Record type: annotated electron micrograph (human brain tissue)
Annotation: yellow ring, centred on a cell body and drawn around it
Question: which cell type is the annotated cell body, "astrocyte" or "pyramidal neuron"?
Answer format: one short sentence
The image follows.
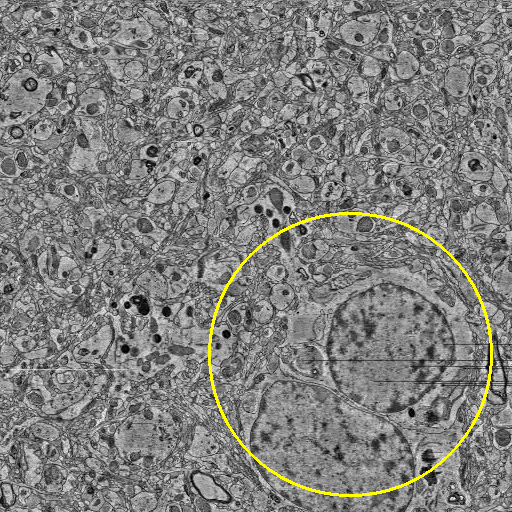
The annotated cell body is that of an astrocyte.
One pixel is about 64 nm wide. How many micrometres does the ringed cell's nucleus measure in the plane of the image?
The nucleus is approximately 8 micrometers across in this plane.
